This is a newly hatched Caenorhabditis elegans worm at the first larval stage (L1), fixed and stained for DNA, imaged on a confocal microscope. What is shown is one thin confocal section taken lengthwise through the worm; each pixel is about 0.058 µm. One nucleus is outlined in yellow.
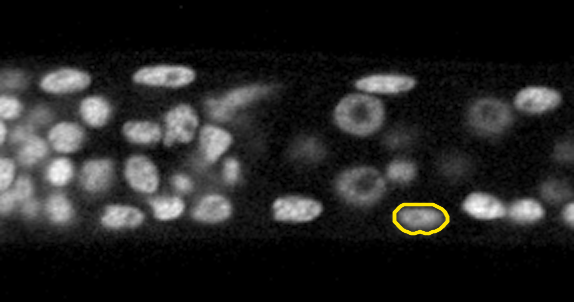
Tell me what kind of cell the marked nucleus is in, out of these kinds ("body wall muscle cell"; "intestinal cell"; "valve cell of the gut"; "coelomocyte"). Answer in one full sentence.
It belongs to a body wall muscle cell.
